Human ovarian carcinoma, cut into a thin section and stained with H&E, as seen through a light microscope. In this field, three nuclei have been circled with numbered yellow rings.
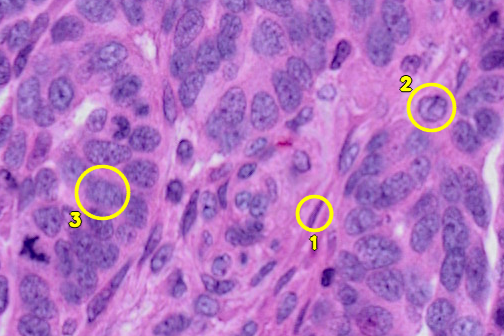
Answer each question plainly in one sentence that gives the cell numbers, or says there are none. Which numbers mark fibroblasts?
The cells that bear the numbers 1 and 2 are fibroblasts.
